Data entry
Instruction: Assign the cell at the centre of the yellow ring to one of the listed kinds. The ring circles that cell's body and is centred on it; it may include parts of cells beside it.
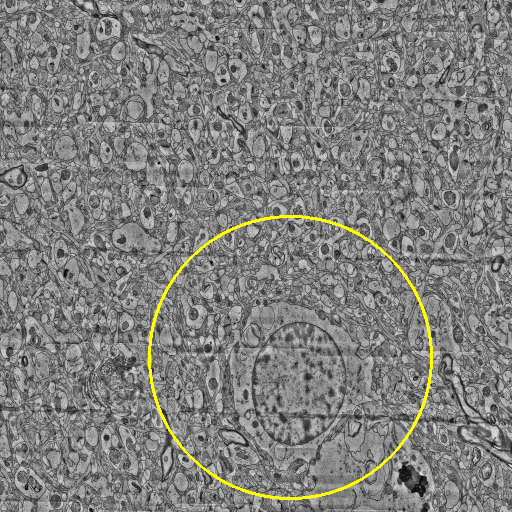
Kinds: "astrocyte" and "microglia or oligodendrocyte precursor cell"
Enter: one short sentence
The centre of the ring falls on an astrocyte.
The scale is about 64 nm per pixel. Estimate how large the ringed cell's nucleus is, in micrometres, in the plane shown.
Roughly 8 by 6 micrometres in this plane, for the nucleus of the ringed cell.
